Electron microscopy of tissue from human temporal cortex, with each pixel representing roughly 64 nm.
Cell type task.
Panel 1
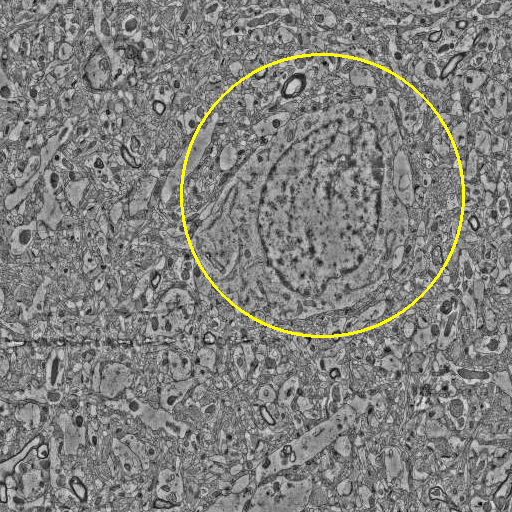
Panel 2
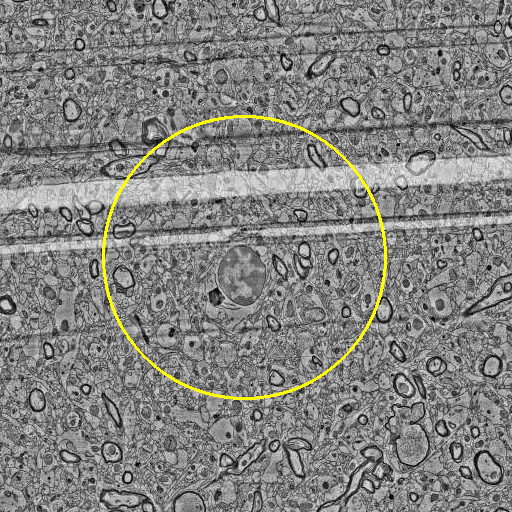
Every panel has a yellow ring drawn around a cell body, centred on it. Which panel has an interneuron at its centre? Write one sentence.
It sits at the centre of the ring in Panel 1.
